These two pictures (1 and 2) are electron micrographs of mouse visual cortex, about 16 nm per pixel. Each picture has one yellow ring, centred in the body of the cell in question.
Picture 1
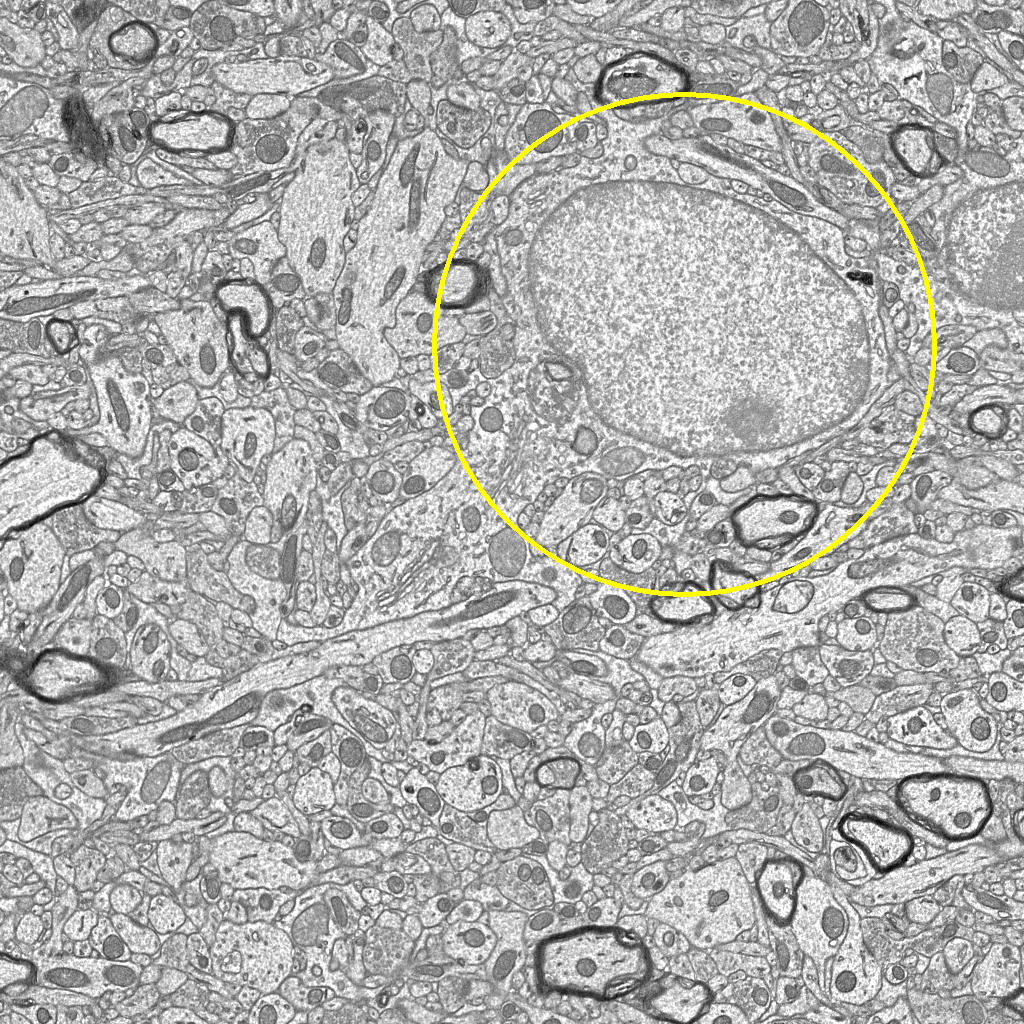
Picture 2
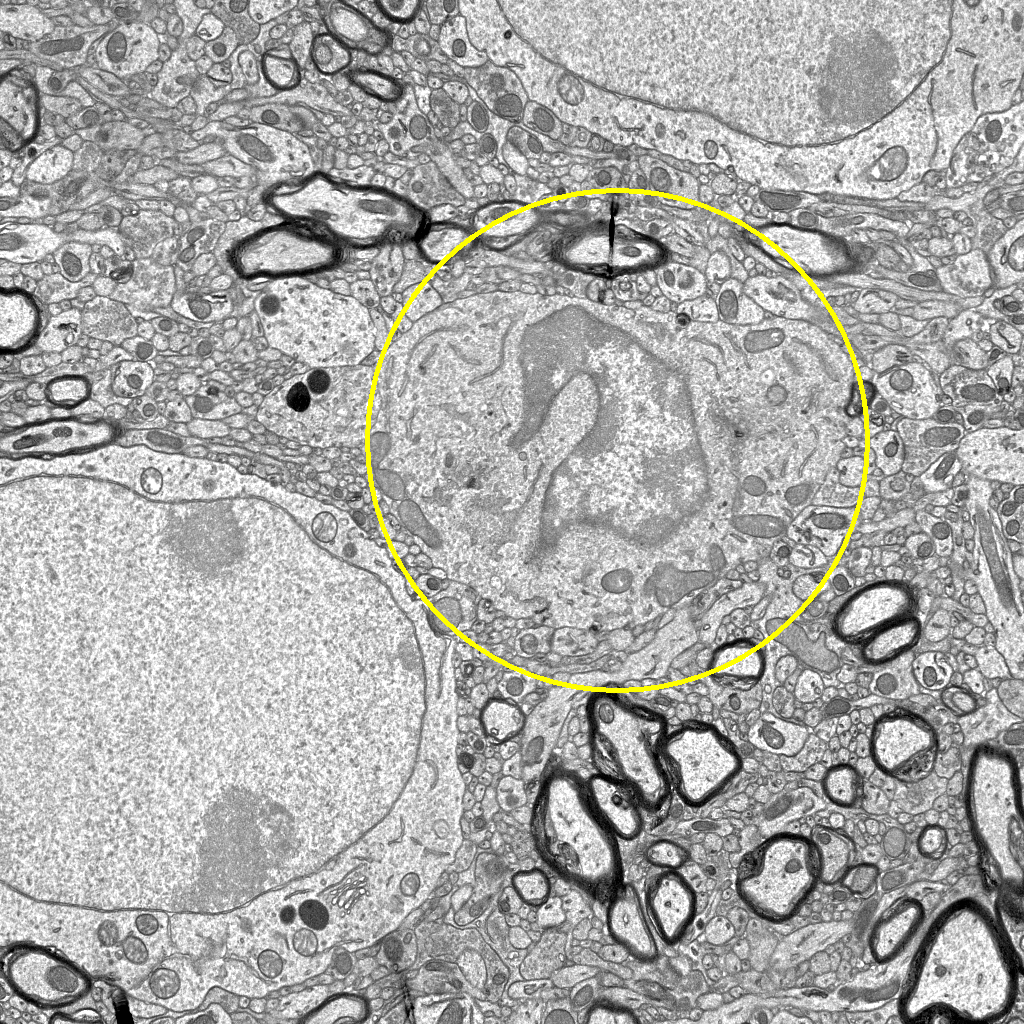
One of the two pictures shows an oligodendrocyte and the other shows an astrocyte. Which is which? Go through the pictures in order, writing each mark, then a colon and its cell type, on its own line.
1: astrocyte
2: oligodendrocyte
